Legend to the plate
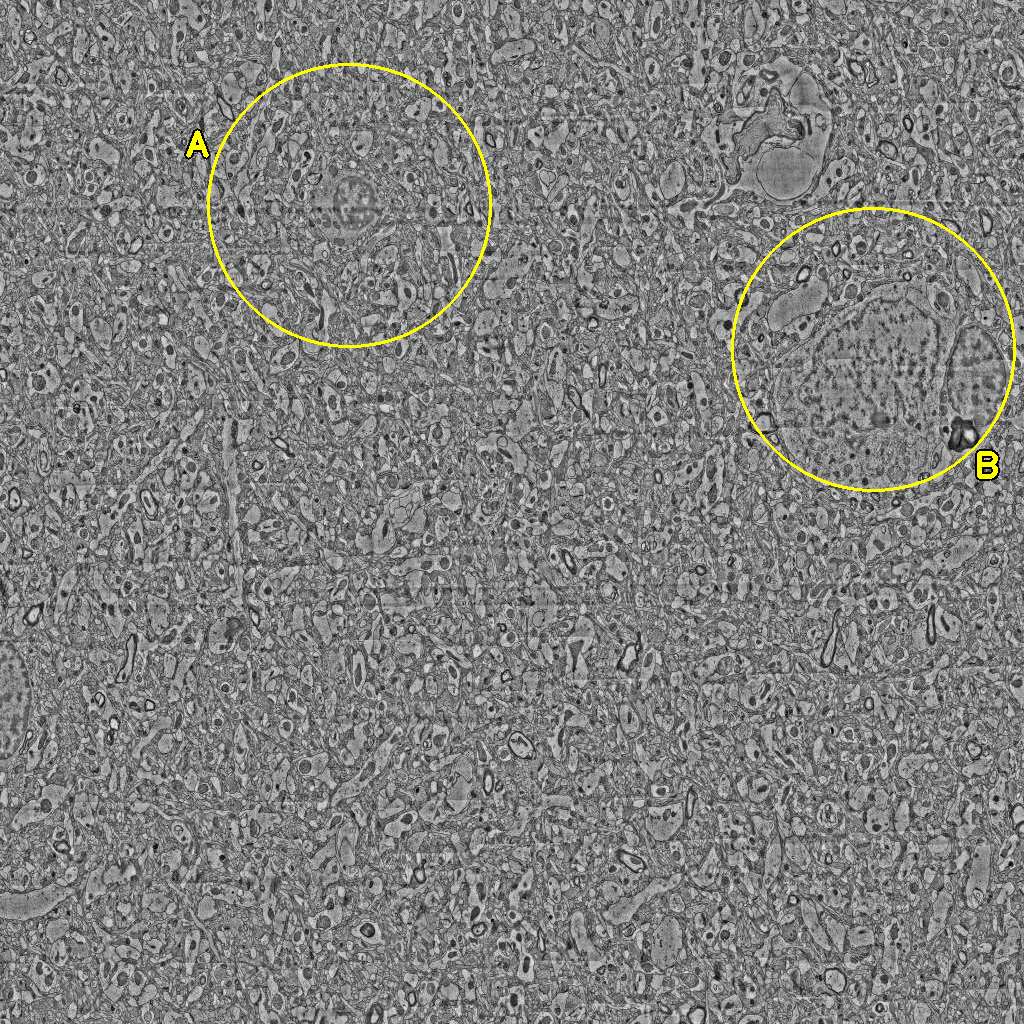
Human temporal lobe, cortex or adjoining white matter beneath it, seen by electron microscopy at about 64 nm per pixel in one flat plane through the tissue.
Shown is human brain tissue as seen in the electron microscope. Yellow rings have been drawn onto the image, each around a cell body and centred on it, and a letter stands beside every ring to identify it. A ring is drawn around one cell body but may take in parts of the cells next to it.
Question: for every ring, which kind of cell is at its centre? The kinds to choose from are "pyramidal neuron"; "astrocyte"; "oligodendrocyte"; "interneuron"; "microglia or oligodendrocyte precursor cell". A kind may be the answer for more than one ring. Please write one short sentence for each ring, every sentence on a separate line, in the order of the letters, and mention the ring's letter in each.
The kind of cell at the centre of ring A is an oligodendrocyte.
The kind of cell at the centre of ring B is an interneuron.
